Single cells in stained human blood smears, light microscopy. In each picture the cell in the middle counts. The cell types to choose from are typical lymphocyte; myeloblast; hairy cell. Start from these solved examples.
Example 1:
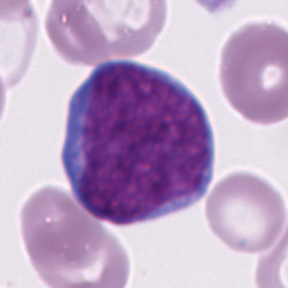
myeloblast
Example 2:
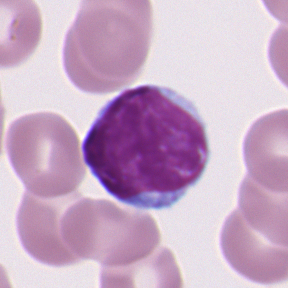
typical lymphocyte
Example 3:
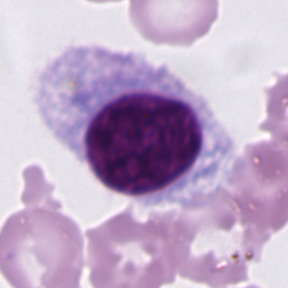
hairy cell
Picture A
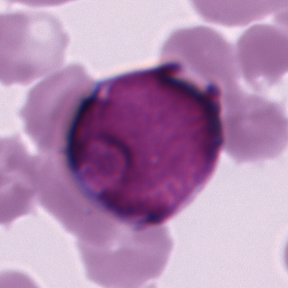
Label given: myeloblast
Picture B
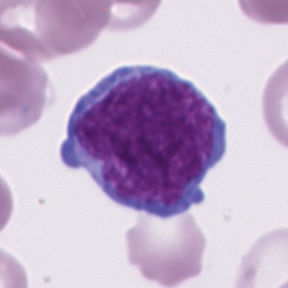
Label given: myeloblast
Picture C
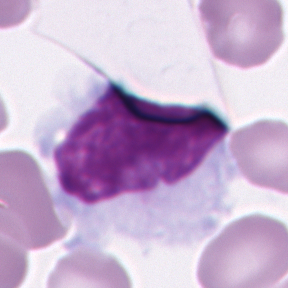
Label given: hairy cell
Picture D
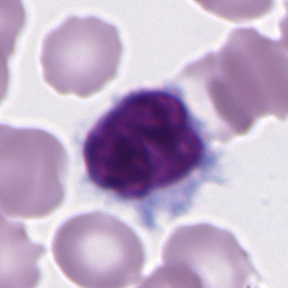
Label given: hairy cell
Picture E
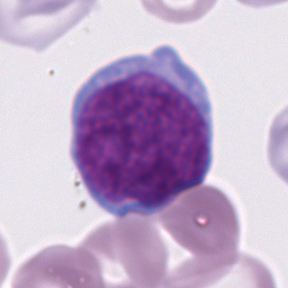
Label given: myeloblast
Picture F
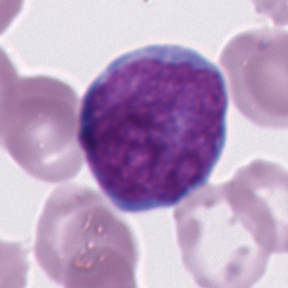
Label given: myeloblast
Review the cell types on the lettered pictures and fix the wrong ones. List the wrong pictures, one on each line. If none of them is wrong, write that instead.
All correct.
